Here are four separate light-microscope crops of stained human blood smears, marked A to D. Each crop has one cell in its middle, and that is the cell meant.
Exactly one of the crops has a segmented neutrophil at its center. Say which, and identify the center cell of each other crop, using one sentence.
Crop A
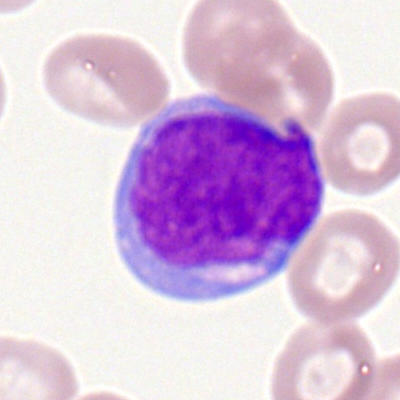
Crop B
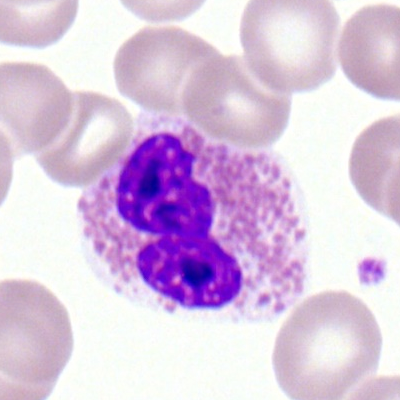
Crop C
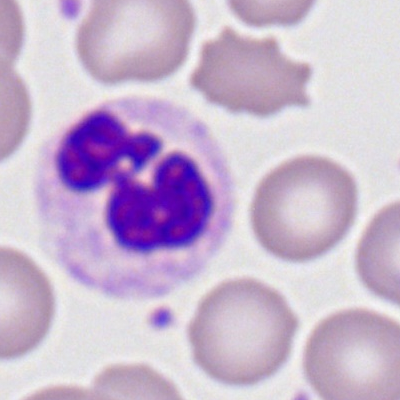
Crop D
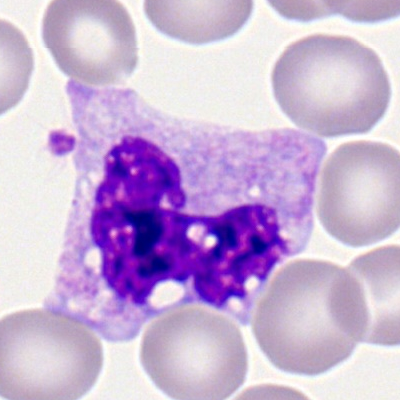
The central cell of crop C is identified as a segmented neutrophil, while crop A is a myeloblast, crop B is an eosinophil and crop D is a monocyte.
